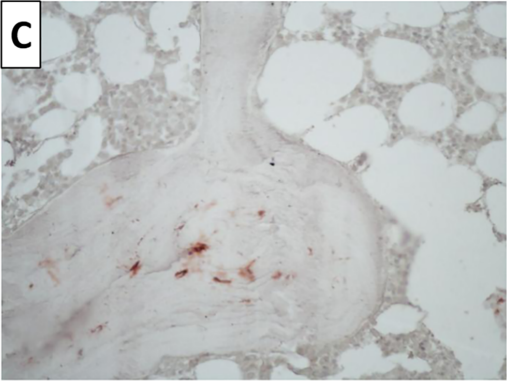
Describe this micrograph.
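A pale, faintly lamellated trabecula of bone is cut obliquely here and widens into a broad plate at the bottom, with marrow space on both sides. Within the bone matrix lie several small, elongated, red-stained osteocytes, most of them clustered near the middle of the plate. The stained cells are aligned roughly along the layers of the matrix, and a few have short thin extensions. The neighbouring marrow is dominated by large empty rounded fat vacuoles, with small round hematopoietic cells packed between them.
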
